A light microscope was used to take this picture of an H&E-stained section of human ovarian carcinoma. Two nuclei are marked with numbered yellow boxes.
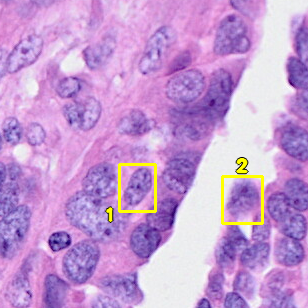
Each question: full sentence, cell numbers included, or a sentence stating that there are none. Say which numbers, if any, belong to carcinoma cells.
Only one marked cell, number 2, is a carcinoma cell.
